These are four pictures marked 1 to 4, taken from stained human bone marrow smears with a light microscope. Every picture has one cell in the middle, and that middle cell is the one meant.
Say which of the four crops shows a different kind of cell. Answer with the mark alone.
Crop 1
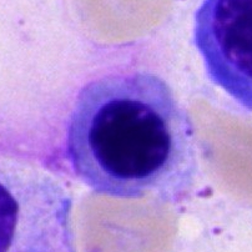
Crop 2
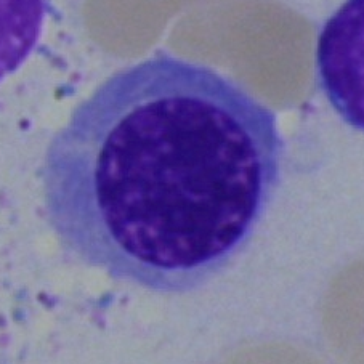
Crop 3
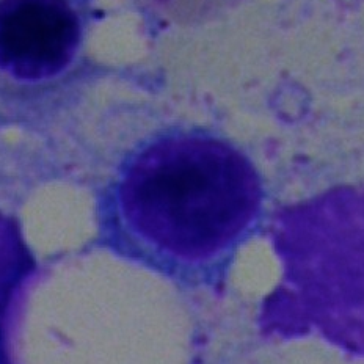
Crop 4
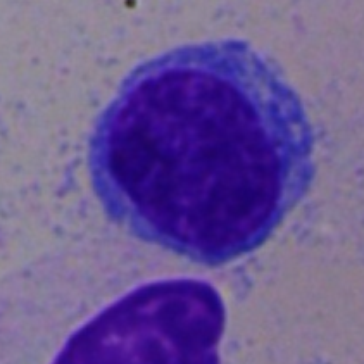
4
